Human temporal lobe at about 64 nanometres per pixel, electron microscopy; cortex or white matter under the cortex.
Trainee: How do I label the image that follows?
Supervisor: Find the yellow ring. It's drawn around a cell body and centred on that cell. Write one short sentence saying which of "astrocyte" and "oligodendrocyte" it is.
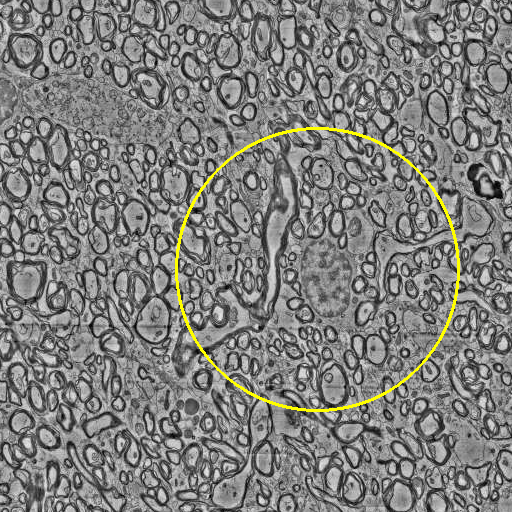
This is the cell body of an oligodendrocyte.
